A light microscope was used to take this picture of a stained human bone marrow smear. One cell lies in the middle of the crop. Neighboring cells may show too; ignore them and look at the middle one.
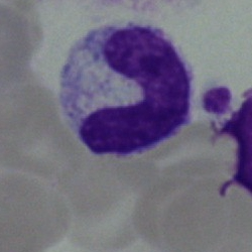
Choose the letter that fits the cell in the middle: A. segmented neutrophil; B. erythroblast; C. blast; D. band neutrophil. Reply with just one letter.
D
